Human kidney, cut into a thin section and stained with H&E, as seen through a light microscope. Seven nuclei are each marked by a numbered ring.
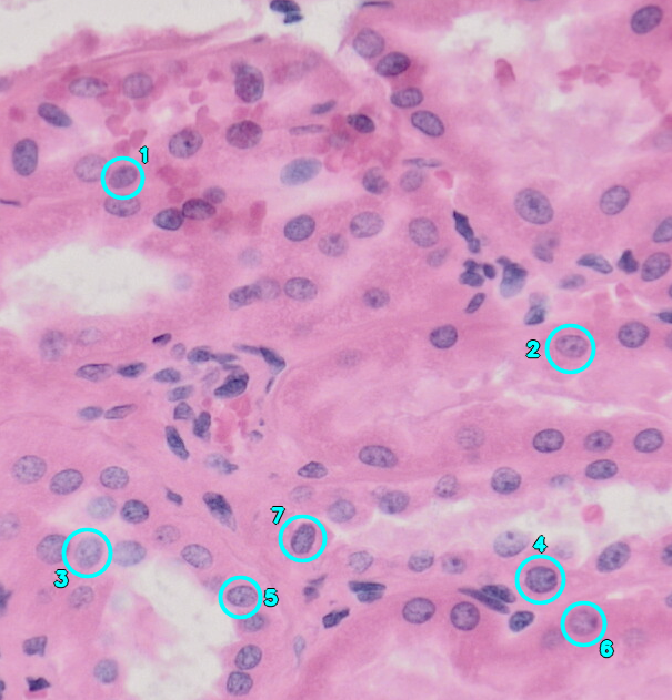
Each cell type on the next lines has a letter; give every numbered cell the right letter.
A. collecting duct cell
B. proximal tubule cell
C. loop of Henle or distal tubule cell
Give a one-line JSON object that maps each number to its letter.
{"1": "B", "2": "B", "3": "C", "4": "C", "5": "C", "6": "B", "7": "C"}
